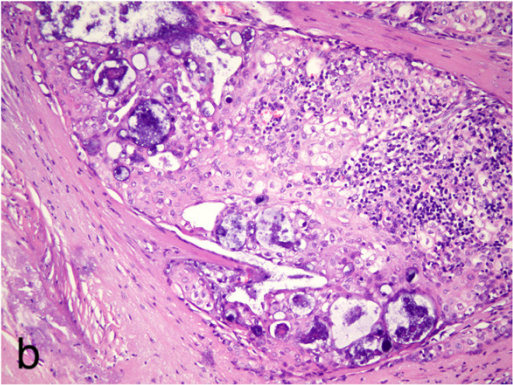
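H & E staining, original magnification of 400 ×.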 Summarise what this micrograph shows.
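A nest of tumor cells sits within dense pink fibrous stroma, containing large rounded cells whose cytoplasm is clear and bubbly or holds pale blue-purple material. Around these cells lie polygonal cells with pink cytoplasm and round nuclei, and a cluster of small dark round nuclei sits to the right. The vacuolated cells are mucin-producing cells, surrounded by epidermoid cells.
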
